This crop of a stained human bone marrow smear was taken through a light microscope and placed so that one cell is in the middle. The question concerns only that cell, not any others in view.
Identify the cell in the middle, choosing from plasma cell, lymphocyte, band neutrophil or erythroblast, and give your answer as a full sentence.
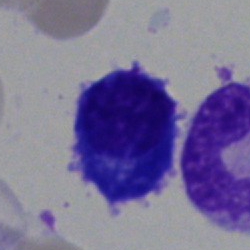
In the middle of this smear crop is a plasma cell.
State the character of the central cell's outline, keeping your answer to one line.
Irregularity marks the cell border, whether as raggedness or as projections.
